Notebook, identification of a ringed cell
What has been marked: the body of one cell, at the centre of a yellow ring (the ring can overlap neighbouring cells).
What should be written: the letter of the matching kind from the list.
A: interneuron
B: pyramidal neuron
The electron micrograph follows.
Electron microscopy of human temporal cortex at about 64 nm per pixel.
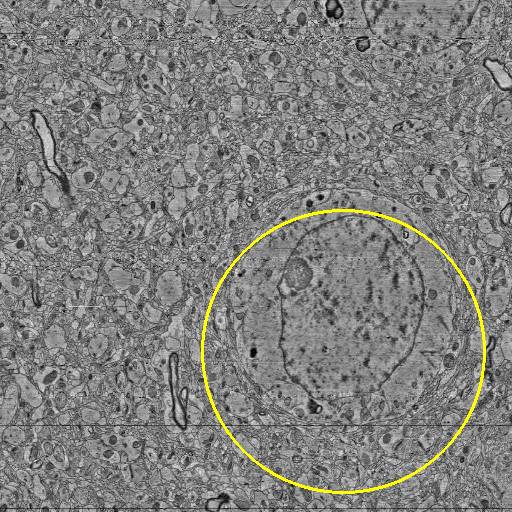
B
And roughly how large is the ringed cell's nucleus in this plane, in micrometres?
In this plane the nucleus measures roughly 13 by 9 micrometers.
